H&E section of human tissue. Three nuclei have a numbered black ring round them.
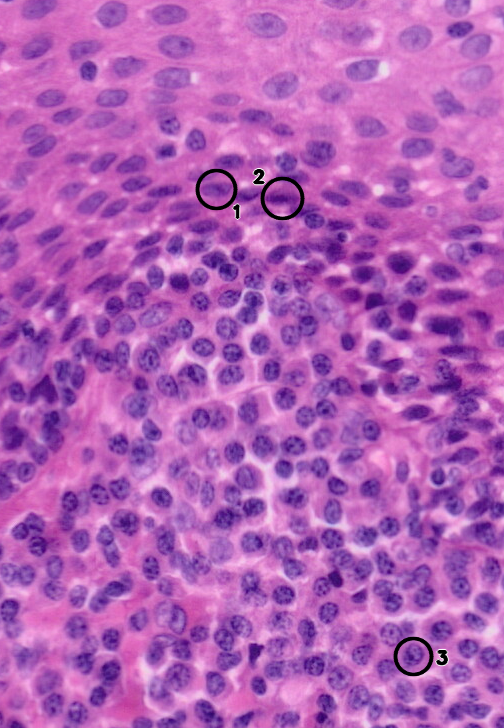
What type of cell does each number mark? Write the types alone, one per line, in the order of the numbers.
squamous epithelial cell
squamous epithelial cell
plasma cell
